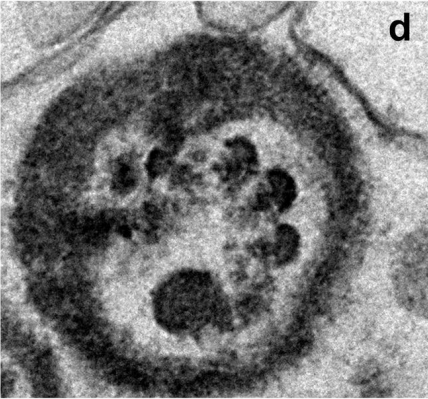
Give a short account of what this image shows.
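This cross-section through a sperm principal piece shows a thick dense ring around a disordered core. The outer dense fibers are few, unevenly sized and displaced, the microtubule doublets are scattered, and no orderly ring of nine doublets with a central pair can be made out.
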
